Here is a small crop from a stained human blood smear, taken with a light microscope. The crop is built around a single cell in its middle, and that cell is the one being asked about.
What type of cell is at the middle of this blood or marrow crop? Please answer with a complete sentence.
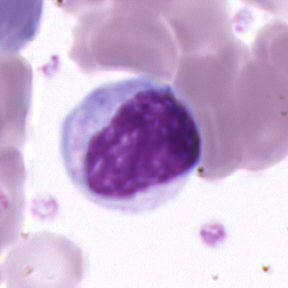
The center cell of this crop is a metamyelocyte.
